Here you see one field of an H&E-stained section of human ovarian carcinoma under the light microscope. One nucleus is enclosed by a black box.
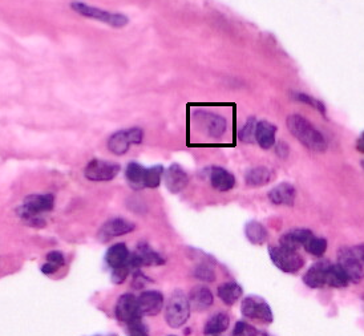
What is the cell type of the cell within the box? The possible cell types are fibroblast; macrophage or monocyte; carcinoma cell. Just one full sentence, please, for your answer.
Students should answer that the cell within the box is a macrophage or monocyte.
